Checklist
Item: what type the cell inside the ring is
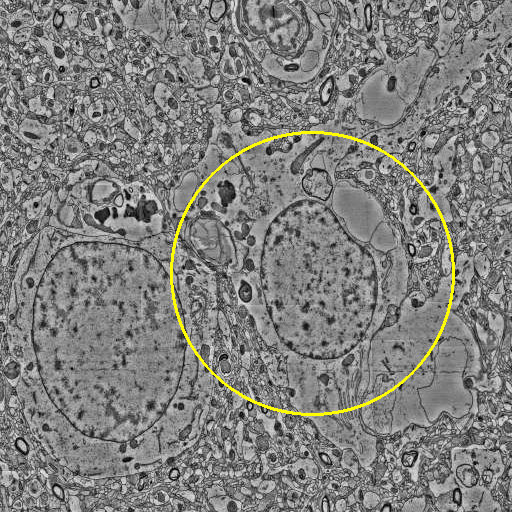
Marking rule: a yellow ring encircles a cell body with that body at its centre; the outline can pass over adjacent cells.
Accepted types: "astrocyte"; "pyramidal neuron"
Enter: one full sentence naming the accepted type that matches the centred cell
The entry is that an astrocyte lies at the centre of the yellow ring.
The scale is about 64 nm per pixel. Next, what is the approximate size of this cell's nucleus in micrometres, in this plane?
In this plane the nucleus measures roughly 10 by 8 micrometers.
